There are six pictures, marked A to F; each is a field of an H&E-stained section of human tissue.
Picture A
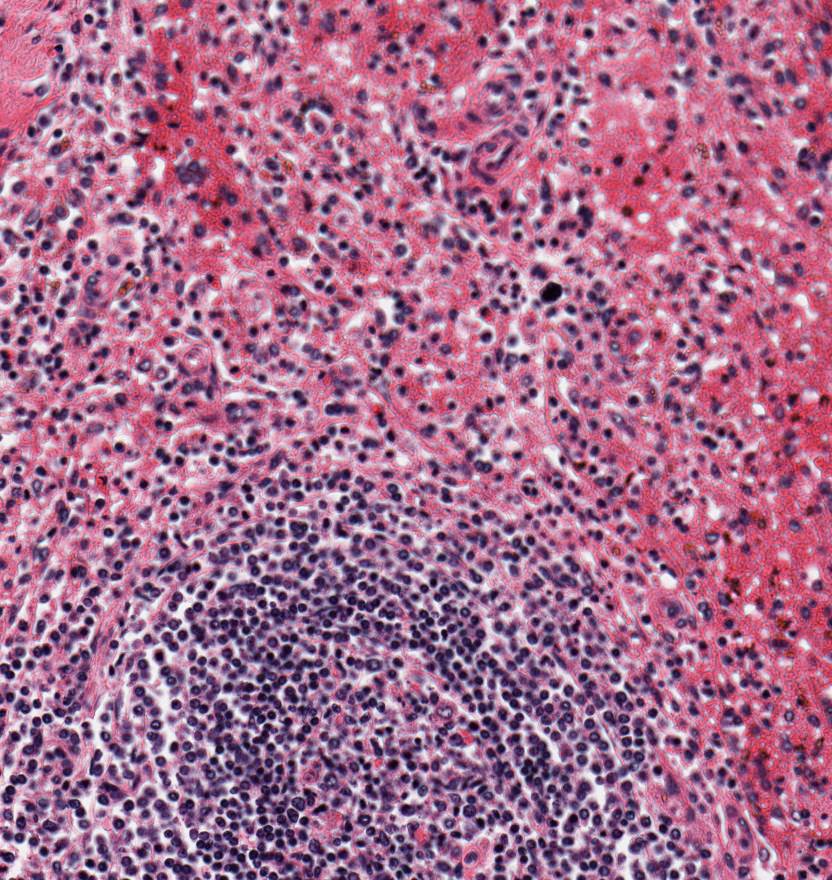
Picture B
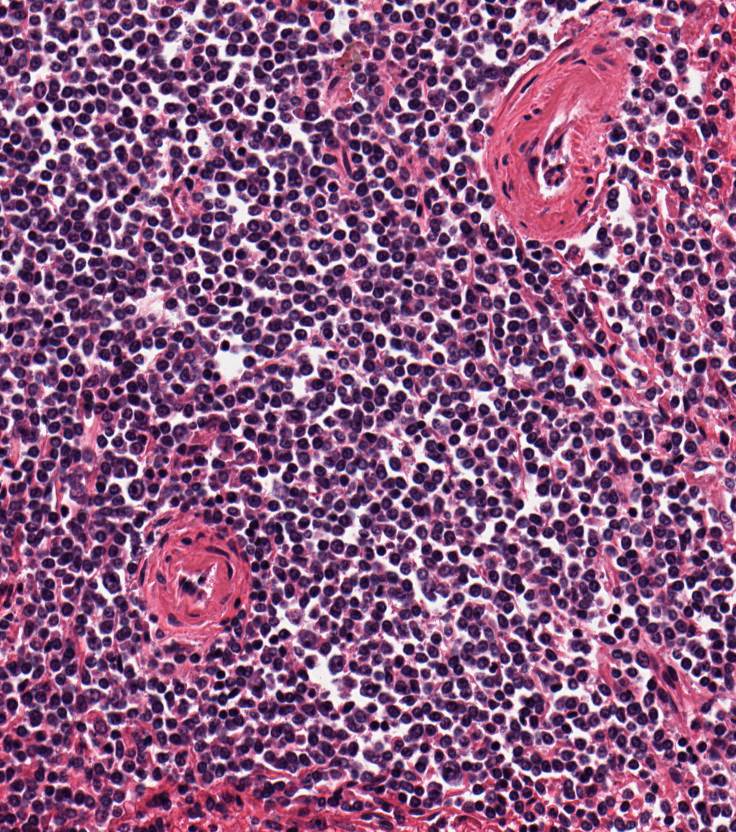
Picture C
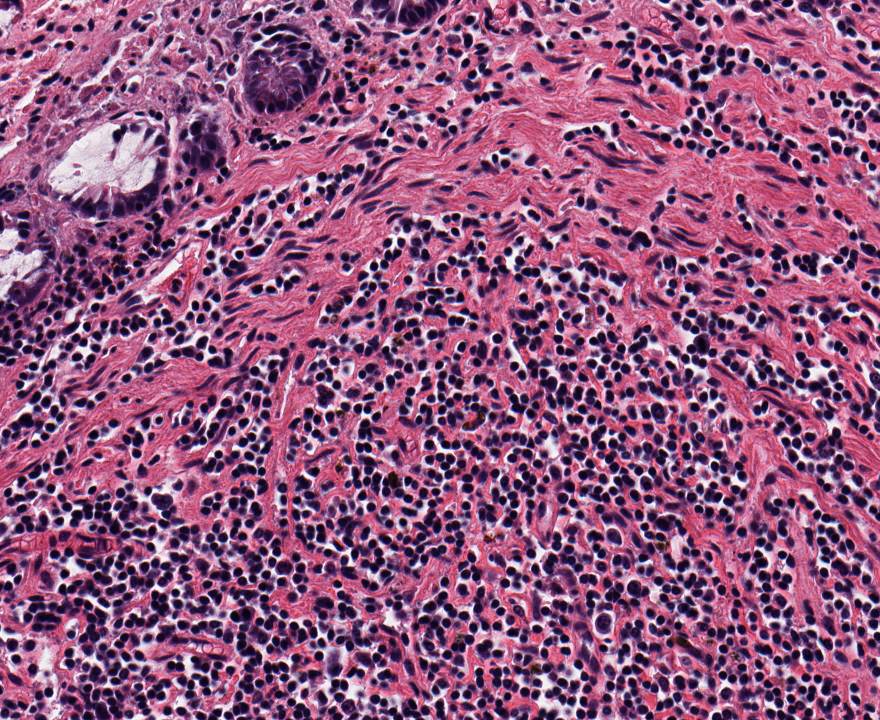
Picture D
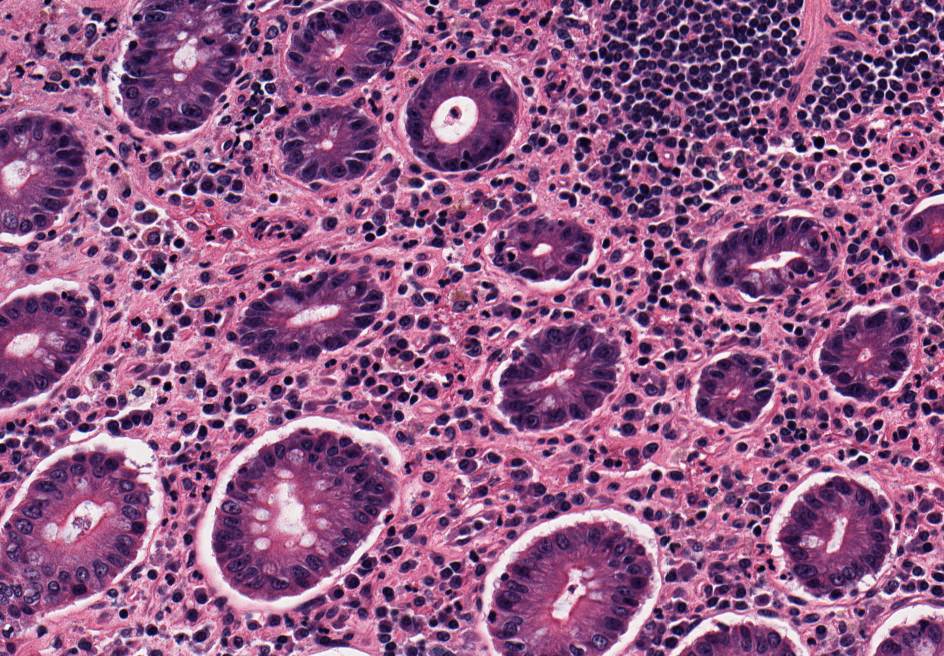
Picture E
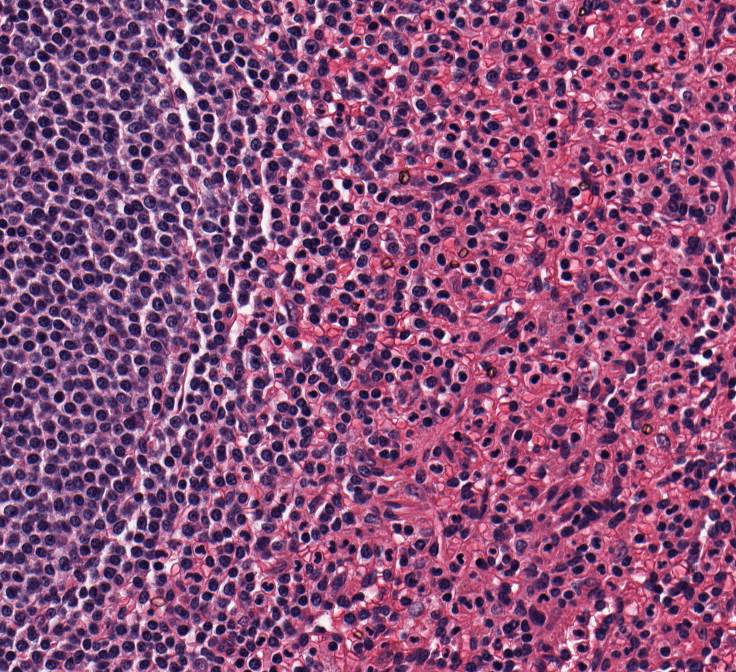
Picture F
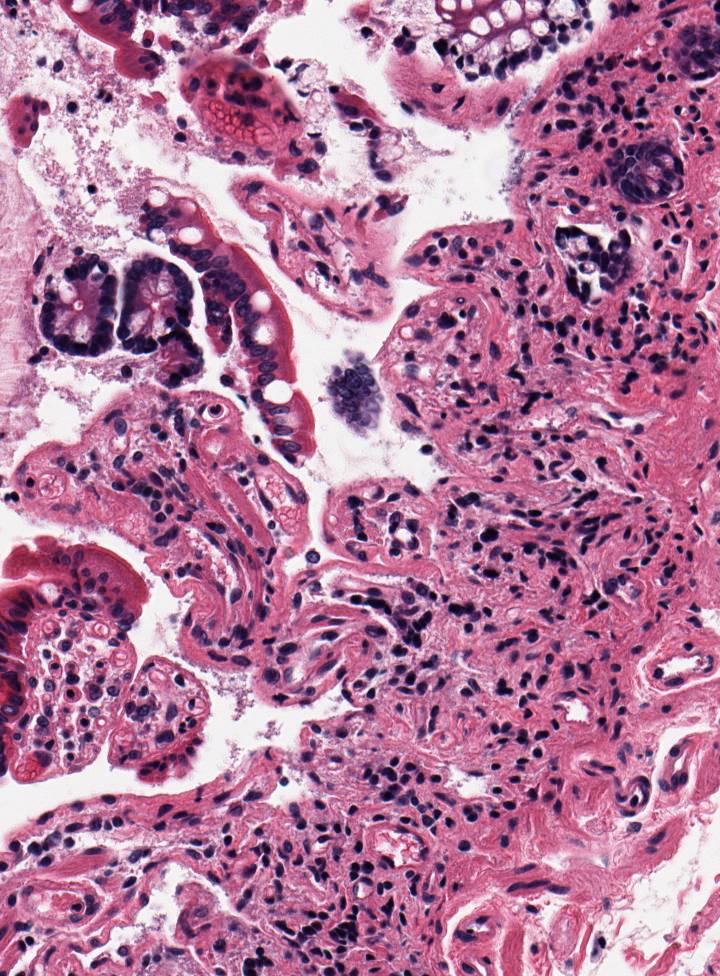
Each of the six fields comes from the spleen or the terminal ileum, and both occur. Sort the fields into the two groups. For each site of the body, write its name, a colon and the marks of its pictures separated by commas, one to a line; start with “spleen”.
spleen: A, B, E
terminal ileum: C, D, F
